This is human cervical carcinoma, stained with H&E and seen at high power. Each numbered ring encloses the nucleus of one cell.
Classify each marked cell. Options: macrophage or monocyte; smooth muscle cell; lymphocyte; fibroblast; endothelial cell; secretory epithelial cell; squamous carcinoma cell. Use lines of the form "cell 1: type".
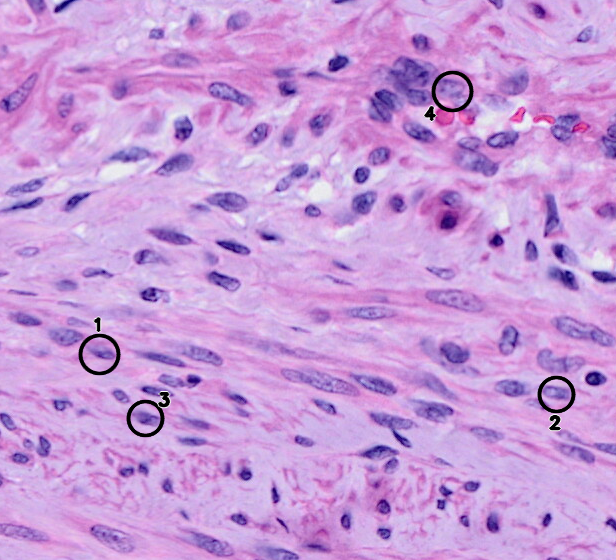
cell 1: smooth muscle cell
cell 2: smooth muscle cell
cell 3: smooth muscle cell
cell 4: endothelial cell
